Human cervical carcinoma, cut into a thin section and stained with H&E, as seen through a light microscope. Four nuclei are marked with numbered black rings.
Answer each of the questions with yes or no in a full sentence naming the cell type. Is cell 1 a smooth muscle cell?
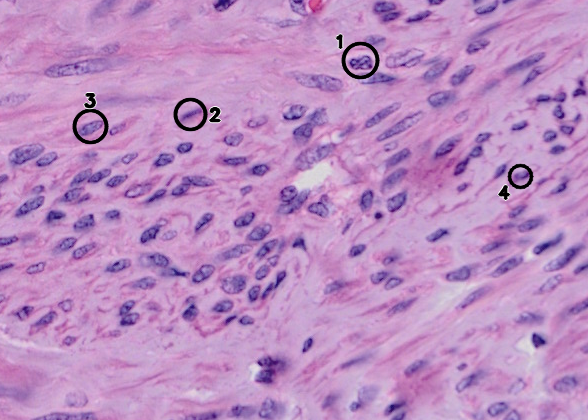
No, the cell at number 1 is a lymphocyte instead of a smooth muscle cell.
